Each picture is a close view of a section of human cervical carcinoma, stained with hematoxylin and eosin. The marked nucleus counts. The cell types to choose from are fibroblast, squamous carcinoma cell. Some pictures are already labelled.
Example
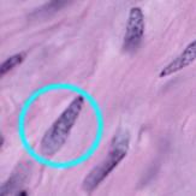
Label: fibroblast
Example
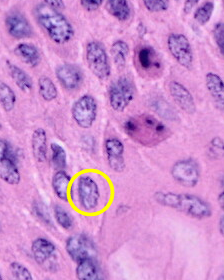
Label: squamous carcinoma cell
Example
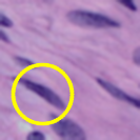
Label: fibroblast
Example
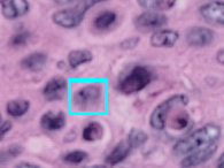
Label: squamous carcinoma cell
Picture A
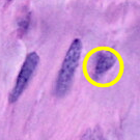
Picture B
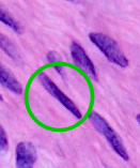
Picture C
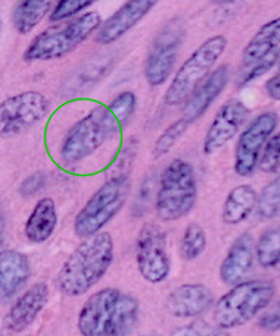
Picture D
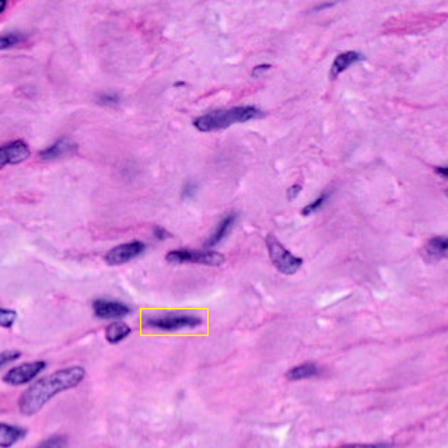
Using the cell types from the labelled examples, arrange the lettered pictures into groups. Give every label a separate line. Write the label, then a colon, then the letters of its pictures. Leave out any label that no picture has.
fibroblast: A, B, D
squamous carcinoma cell: C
